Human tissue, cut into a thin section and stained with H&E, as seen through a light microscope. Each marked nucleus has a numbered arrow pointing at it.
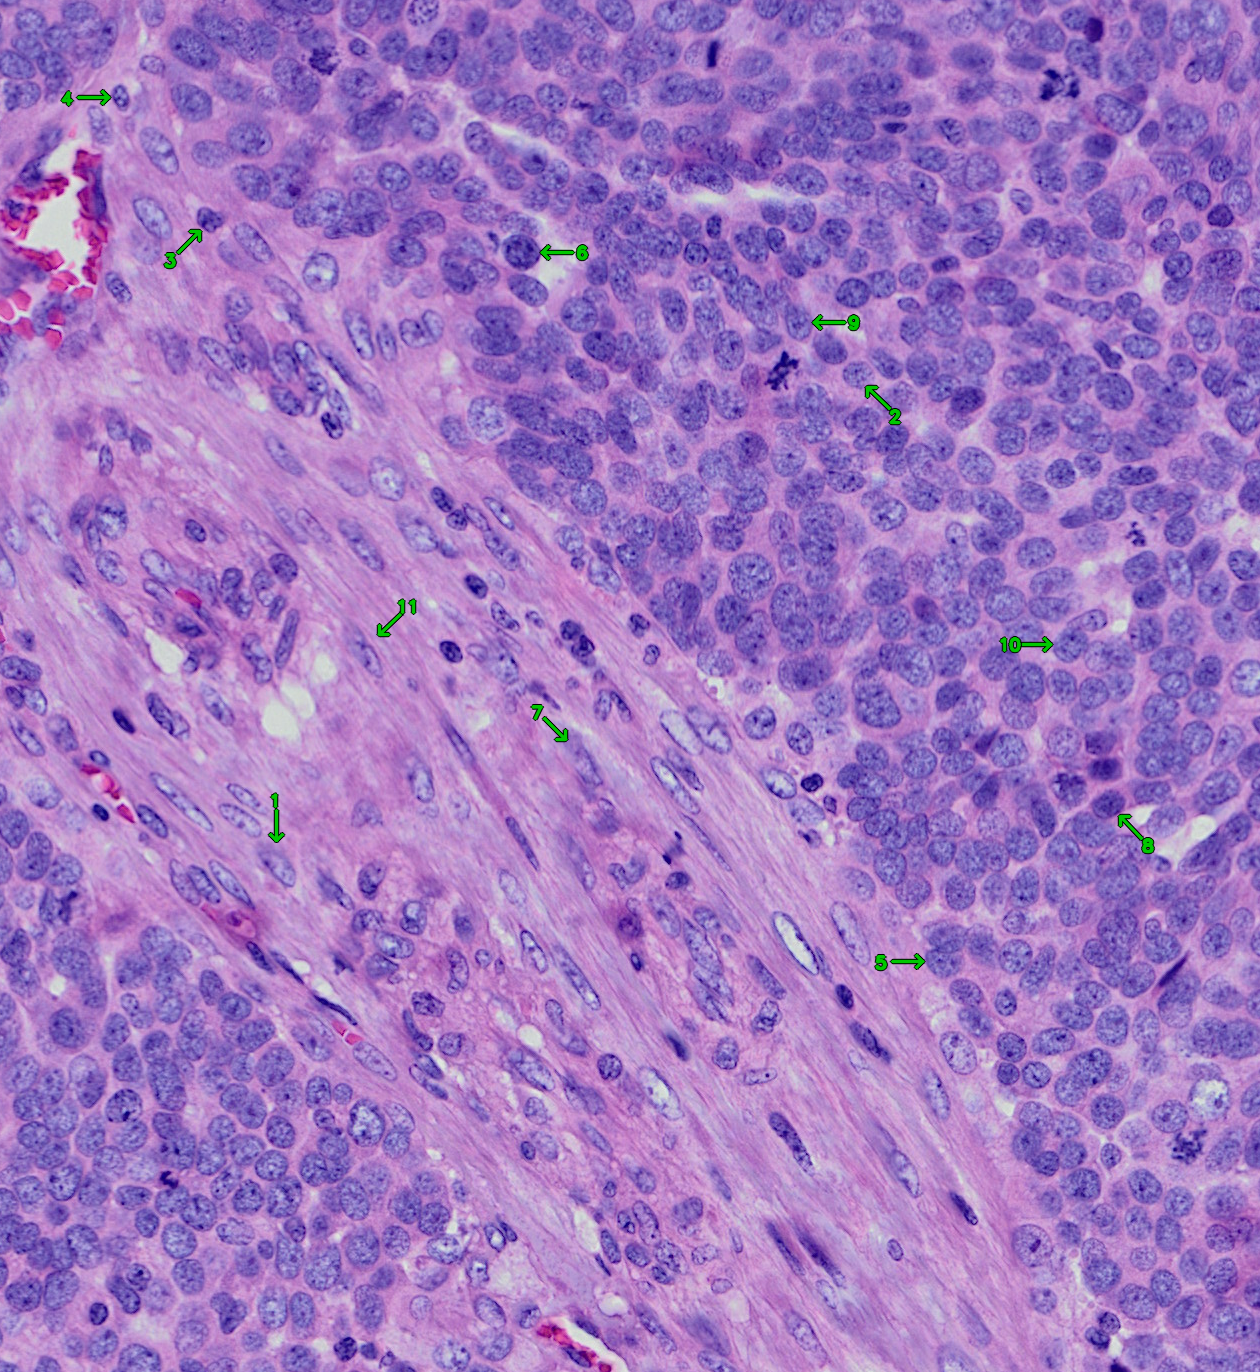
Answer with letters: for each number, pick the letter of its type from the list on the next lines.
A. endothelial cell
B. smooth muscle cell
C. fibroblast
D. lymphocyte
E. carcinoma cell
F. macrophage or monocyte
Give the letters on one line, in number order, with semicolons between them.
C; E; D; D; E; E; C; E; E; E; C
